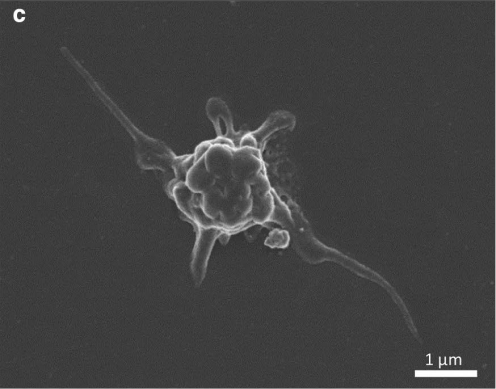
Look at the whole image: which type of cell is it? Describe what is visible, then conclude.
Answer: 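A rounded cell body under 2 µm across with a knobbly surface. Several thin, tapering processes extend outward from the body onto the substrate.
Platelets.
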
